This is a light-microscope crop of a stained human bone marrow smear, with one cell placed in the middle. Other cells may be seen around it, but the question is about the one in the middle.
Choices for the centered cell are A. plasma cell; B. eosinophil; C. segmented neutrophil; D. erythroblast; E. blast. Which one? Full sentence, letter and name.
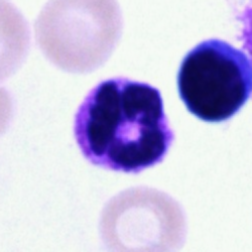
Option C is correct here, and the cell in the middle is a segmented neutrophil.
